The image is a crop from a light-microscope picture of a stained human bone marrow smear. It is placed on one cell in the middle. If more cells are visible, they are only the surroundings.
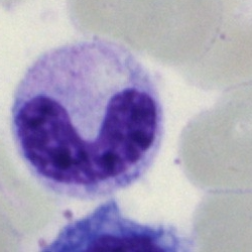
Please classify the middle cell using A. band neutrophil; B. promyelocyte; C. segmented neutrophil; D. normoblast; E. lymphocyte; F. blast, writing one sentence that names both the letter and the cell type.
The expected answer is option A, the central cell being a band neutrophil.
